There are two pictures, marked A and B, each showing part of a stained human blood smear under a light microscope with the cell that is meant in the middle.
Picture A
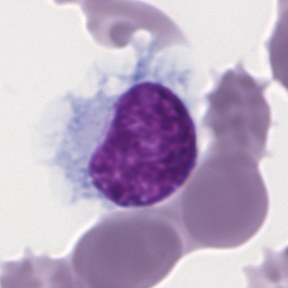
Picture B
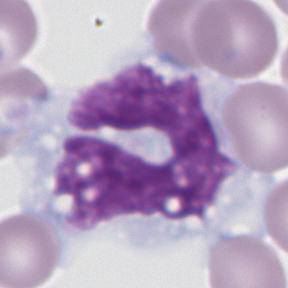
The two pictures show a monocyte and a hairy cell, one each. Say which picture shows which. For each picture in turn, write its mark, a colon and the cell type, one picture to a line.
A: hairy cell
B: monocyte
